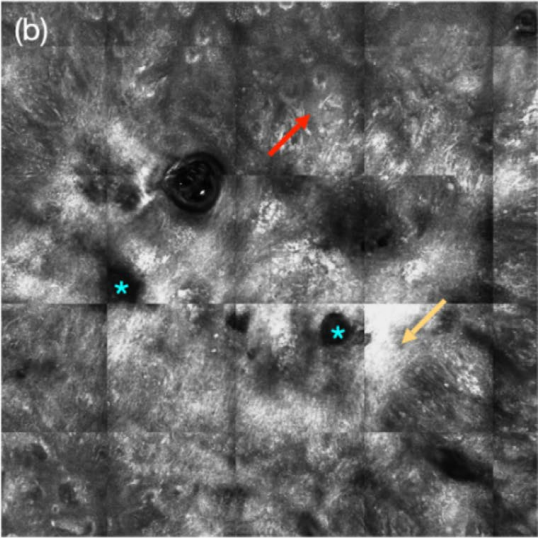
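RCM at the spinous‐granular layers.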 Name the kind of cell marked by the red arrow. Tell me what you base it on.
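Dendritic cells. Bright cells with thin branching processes scattered among the epidermal cells.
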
